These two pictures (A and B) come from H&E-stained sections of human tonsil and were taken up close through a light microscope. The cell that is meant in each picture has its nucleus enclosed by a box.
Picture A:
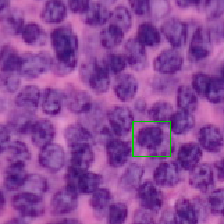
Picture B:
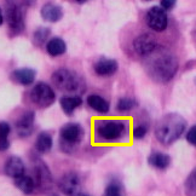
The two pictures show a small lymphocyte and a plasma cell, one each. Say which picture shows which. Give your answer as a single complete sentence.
Picture A is of a small lymphocyte, and picture B is of a plasma cell.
